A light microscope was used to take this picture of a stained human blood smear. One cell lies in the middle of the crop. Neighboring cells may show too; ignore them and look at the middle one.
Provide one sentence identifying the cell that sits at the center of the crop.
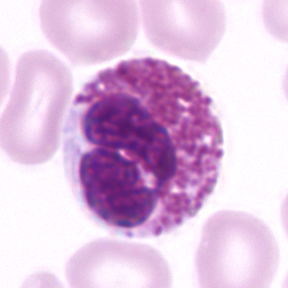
On this slide crop, the central cell is an eosinophil.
